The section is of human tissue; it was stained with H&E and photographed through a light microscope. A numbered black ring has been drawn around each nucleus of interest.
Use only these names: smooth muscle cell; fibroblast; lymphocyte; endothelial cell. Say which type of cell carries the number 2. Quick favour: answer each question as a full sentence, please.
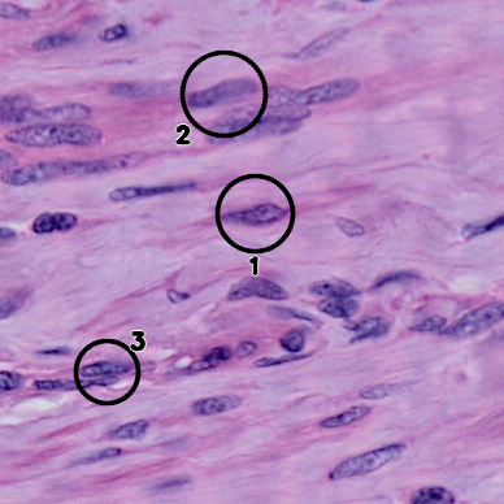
Classified as a smooth muscle cell is the cell with the number 2.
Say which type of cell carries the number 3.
The marked cell with the number 3 is recognised as an endothelial cell.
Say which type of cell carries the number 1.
Cell 1 in the field is a smooth muscle cell.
